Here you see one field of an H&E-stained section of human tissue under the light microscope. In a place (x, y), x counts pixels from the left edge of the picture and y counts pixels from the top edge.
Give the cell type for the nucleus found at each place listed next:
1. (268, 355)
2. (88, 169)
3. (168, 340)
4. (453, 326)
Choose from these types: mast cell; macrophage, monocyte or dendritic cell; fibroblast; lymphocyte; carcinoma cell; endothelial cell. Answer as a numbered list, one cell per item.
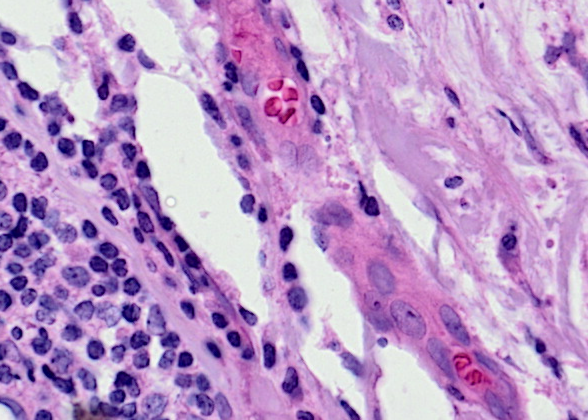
1. lymphocyte
2. lymphocyte
3. lymphocyte
4. endothelial cell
